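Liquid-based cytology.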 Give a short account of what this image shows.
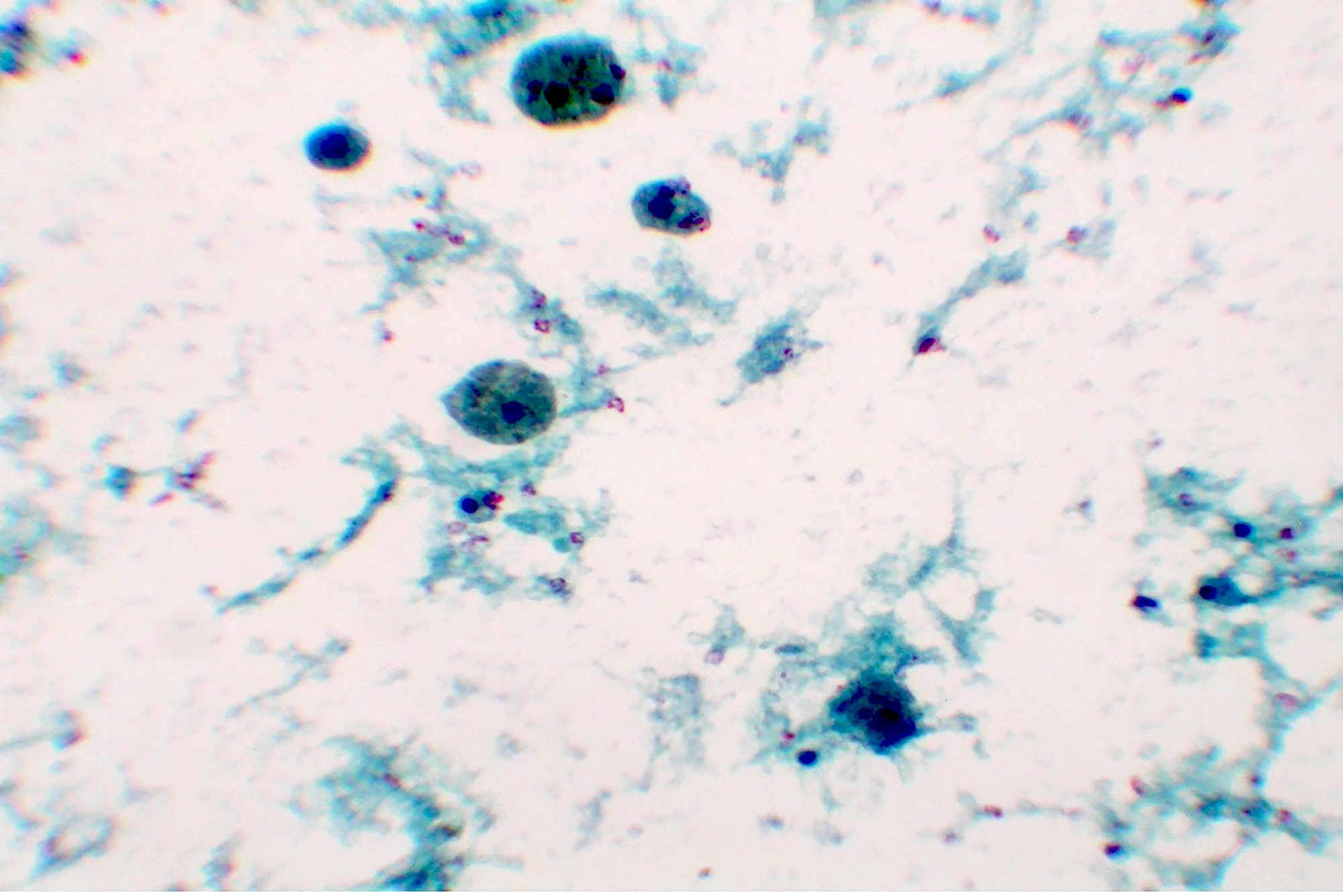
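The macrophages are round to oval, with dense, dark, granular cytoplasm that partly obscures the nucleus. Coarse, very dark granules stand out within the cytoplasm of some cells. Around them lie strands and wisps of pale blue-green material with tiny pink-red and dark dots. No cohesive sheets or clusters of epithelial cells are present, so the sample holds too few cells for a diagnosis.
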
